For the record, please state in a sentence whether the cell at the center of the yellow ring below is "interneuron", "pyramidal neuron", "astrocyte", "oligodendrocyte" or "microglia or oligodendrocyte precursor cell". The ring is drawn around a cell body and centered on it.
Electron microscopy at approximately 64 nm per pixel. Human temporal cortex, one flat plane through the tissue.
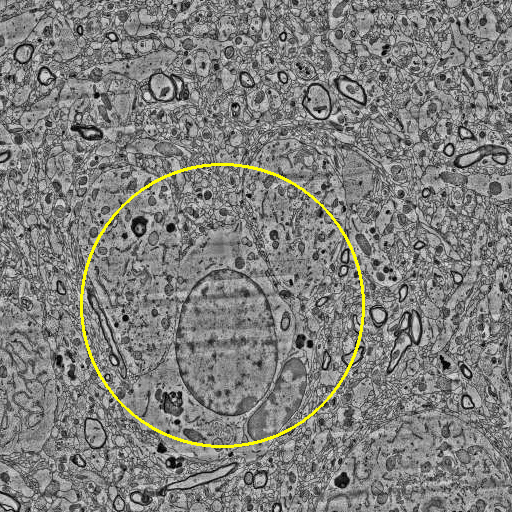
The cell at the ring's center is an astrocyte.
